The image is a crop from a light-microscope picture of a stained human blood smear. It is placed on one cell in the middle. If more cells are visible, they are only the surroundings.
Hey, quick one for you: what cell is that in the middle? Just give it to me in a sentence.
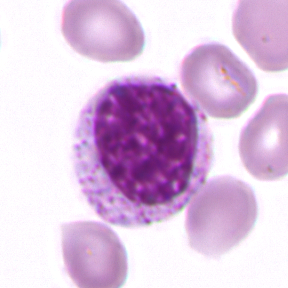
The cell in the middle of this crop is a metamyelocyte.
